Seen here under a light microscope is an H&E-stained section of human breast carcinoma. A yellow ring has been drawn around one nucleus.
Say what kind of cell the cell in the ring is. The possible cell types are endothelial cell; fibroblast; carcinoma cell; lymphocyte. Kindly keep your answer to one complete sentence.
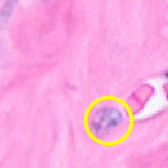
In the stained section, the cell in the ring is an endothelial cell.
